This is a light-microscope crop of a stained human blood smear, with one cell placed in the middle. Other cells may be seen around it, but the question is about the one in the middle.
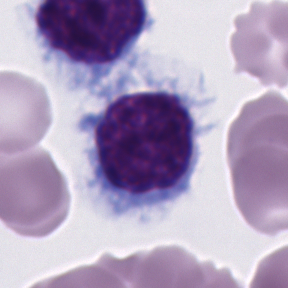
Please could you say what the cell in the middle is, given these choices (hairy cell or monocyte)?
hairy cell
